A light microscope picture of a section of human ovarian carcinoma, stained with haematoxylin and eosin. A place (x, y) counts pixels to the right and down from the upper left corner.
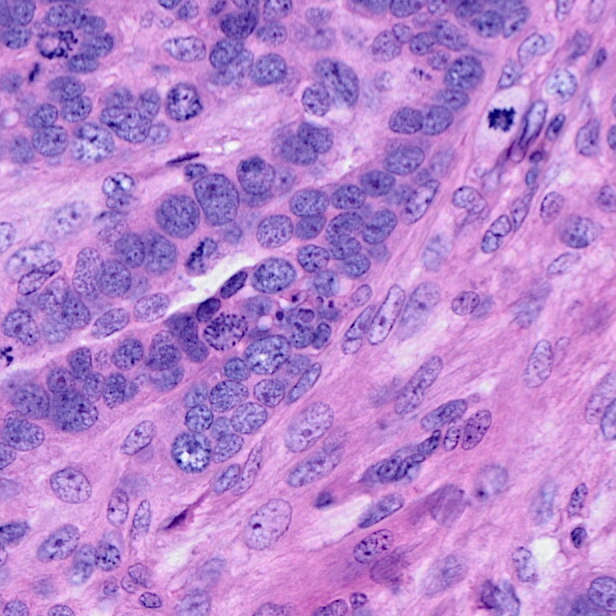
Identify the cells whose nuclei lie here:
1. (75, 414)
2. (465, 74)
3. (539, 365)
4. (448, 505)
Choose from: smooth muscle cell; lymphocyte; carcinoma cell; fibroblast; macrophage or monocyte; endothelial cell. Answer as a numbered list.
1. carcinoma cell
2. carcinoma cell
3. fibroblast
4. fibroblast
